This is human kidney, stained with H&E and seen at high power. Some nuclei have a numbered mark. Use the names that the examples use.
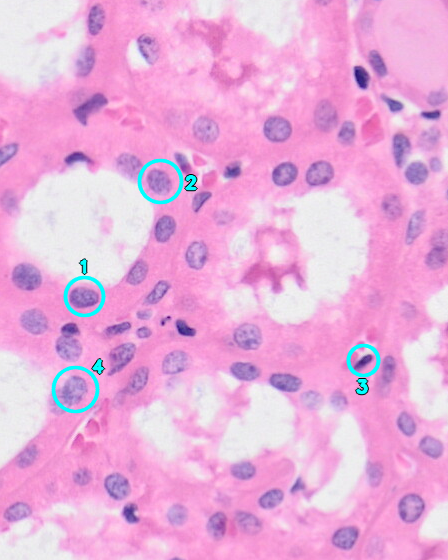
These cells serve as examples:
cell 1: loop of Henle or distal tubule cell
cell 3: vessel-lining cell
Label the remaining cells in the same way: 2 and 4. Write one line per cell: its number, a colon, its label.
2: loop of Henle or distal tubule cell
4: loop of Henle or distal tubule cell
